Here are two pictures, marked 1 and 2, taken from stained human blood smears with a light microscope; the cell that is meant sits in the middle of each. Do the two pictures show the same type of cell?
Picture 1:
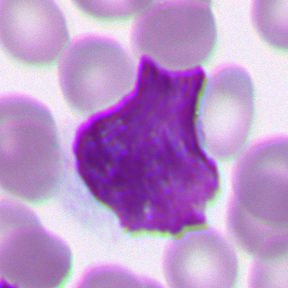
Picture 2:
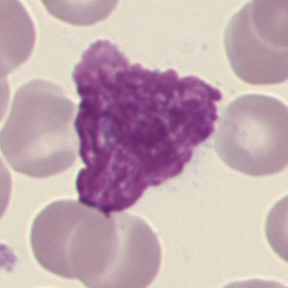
yes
